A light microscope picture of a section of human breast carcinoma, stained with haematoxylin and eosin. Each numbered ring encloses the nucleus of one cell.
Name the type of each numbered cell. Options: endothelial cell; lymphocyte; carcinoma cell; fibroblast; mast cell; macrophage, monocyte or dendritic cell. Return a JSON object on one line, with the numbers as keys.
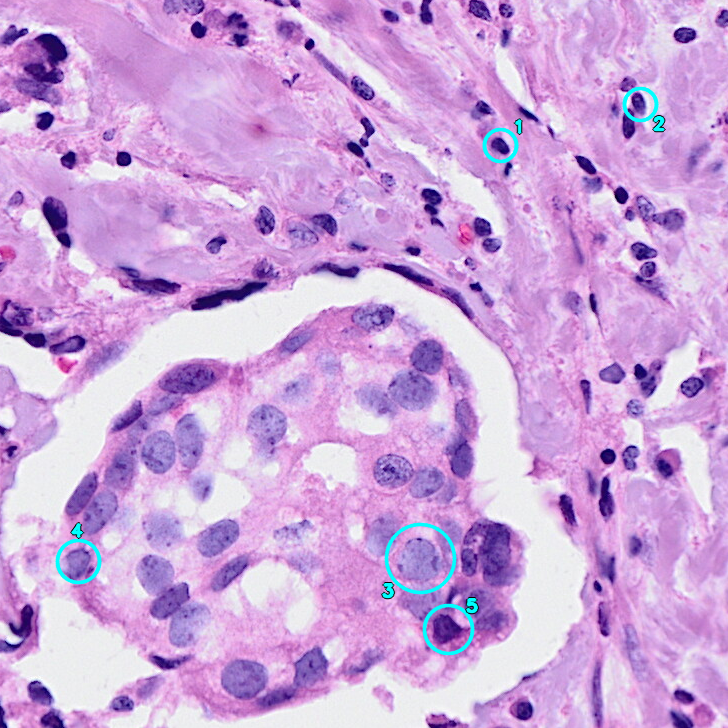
{"1": "lymphocyte", "2": "lymphocyte", "3": "carcinoma cell", "4": "carcinoma cell", "5": "carcinoma cell"}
